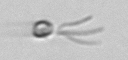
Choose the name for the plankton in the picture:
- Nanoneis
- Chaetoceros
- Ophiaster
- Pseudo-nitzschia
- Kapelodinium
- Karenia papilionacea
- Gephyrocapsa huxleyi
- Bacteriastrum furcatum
Ophiaster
